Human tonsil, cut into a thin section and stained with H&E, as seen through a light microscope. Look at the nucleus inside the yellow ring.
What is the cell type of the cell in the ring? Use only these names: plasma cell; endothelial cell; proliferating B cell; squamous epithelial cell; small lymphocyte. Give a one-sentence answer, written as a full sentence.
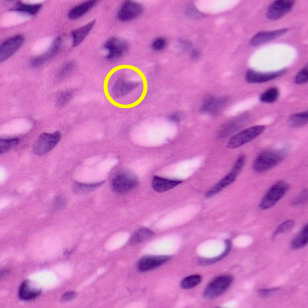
For the purposes of cell typing, the cell in the ring is categorized as a squamous epithelial cell.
